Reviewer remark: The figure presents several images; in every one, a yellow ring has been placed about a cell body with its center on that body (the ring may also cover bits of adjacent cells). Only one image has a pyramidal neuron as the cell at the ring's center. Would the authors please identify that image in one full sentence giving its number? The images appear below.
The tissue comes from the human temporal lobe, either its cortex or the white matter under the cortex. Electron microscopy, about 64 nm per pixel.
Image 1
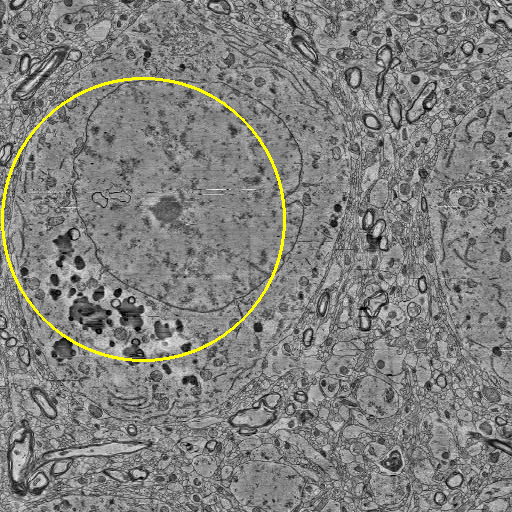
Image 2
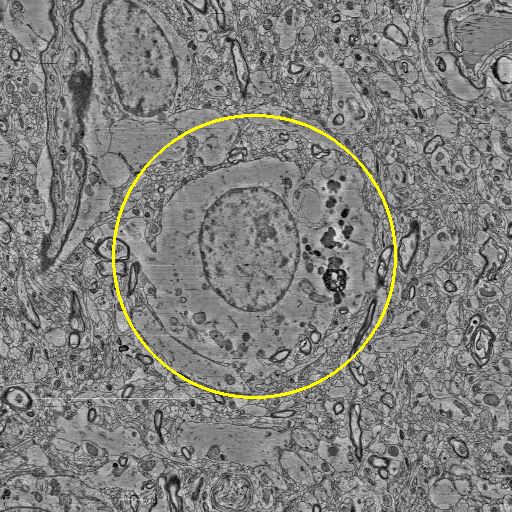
The ring's central cell in image 1 is the one the question describes.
